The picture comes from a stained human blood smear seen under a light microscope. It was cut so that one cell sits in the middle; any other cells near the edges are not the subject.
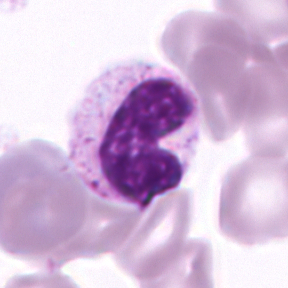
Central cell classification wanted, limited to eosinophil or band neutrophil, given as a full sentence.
The crop centres on a single cell, and that cell is a band neutrophil.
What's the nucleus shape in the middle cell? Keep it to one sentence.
There is one compact nucleus, and its shape is round, oval or kidney-like.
